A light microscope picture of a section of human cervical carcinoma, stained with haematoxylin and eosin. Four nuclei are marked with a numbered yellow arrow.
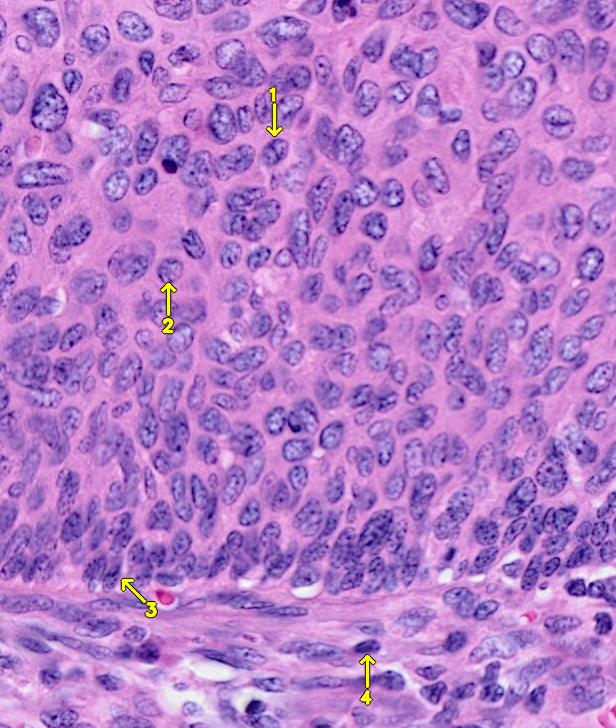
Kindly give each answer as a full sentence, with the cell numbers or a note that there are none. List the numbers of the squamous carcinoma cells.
The cells numbered 1, 2 and 3 are, by type, squamous carcinoma cells.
